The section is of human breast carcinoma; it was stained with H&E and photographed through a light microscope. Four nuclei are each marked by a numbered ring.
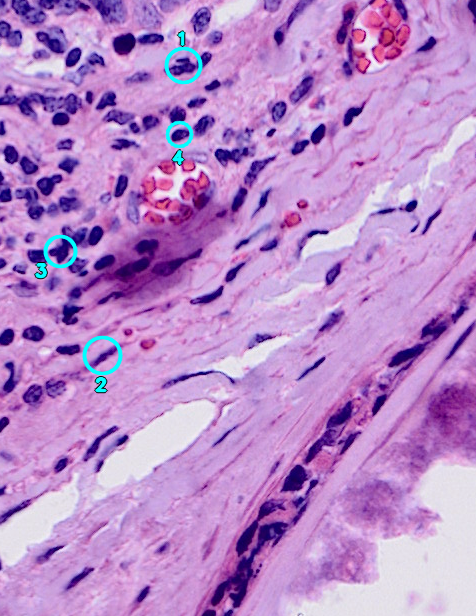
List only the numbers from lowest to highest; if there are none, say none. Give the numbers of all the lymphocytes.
1, 3, 4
